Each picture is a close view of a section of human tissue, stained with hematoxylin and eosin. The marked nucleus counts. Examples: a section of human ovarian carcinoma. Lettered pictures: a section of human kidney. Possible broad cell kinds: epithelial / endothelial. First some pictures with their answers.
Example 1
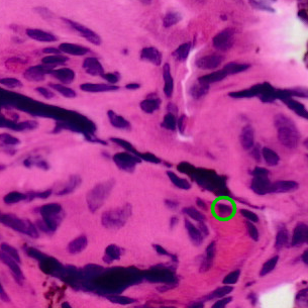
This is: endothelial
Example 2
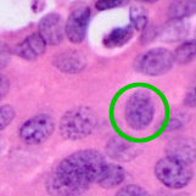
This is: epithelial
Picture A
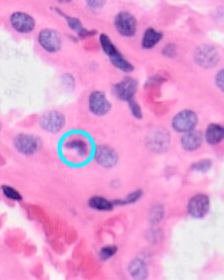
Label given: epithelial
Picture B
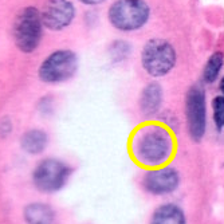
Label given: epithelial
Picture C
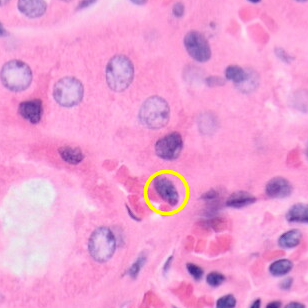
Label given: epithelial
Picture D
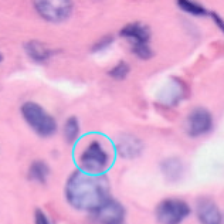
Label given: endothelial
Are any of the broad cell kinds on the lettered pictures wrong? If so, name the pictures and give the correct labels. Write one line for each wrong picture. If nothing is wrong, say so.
Wrong: C (epithelial); correct: endothelial
Wrong: D (endothelial); correct: epithelial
